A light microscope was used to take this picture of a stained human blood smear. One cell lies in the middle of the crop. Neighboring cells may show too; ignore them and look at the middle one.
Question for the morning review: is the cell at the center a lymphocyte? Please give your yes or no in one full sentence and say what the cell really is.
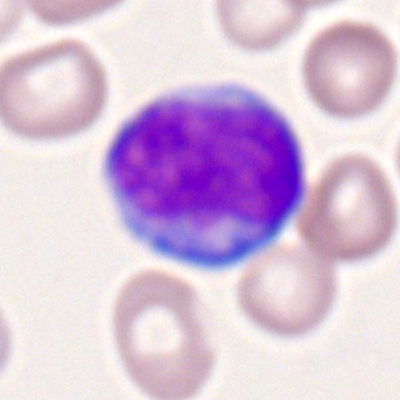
No, the cell occupying the centre is a blast, not a lymphocyte.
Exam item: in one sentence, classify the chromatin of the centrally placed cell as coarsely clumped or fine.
Chromatin in the nucleus here is coarsely clumped.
